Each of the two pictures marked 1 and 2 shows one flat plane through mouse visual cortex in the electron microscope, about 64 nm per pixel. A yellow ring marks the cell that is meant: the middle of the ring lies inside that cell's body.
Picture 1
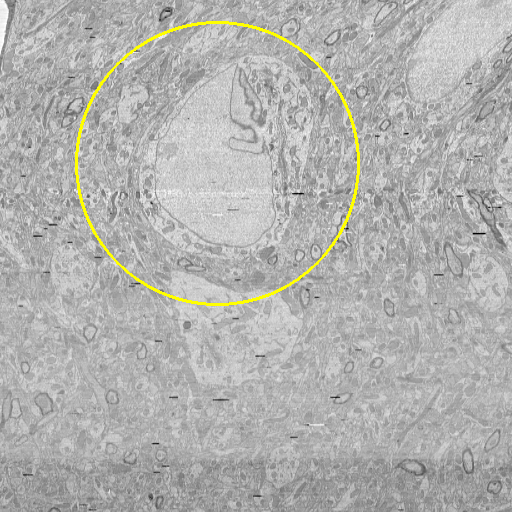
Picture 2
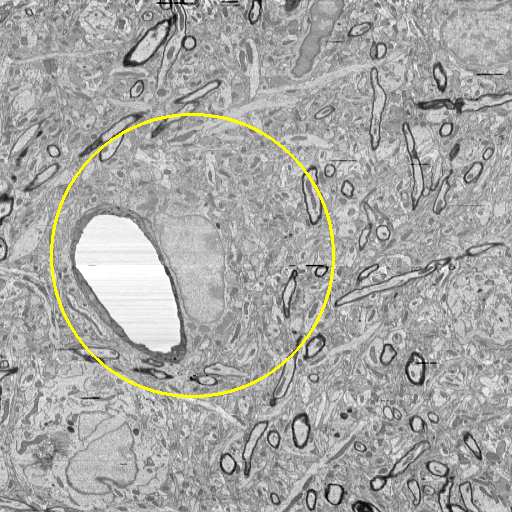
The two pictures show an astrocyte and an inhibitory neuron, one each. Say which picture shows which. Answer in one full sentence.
Picture 1 shows an inhibitory neuron and picture 2 shows an astrocyte.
